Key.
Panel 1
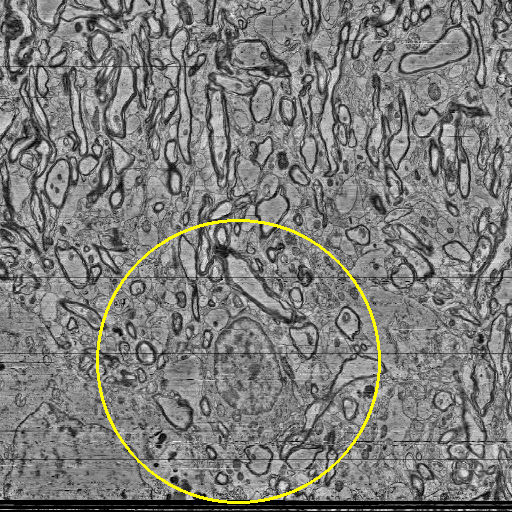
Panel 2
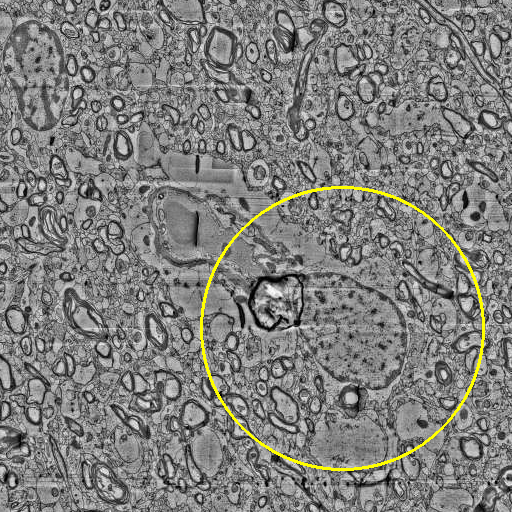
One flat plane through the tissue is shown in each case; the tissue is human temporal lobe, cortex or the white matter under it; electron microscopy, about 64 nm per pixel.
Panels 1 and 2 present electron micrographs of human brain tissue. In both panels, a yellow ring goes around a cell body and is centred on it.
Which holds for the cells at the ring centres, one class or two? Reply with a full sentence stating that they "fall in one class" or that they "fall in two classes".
Taken together, the ring-centre cells of the two panels fall in two classes.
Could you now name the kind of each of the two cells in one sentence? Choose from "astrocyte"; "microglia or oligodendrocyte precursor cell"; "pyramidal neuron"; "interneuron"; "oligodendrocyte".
The first ring encloses an oligodendrocyte; the second ring encloses a microglial cell or oligodendrocyte precursor cell.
